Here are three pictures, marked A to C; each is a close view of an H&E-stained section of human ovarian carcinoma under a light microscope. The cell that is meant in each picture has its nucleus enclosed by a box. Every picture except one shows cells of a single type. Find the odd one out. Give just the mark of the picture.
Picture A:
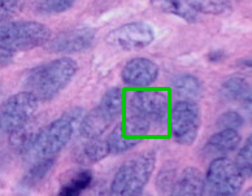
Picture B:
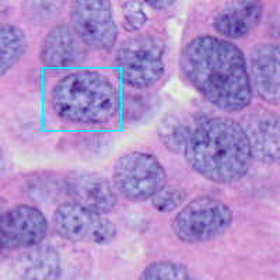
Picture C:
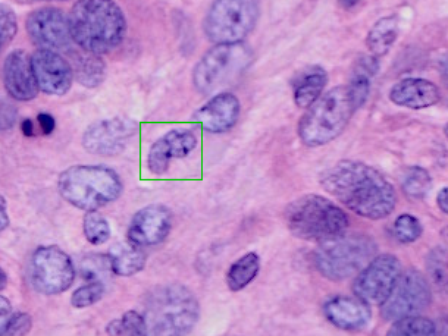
C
